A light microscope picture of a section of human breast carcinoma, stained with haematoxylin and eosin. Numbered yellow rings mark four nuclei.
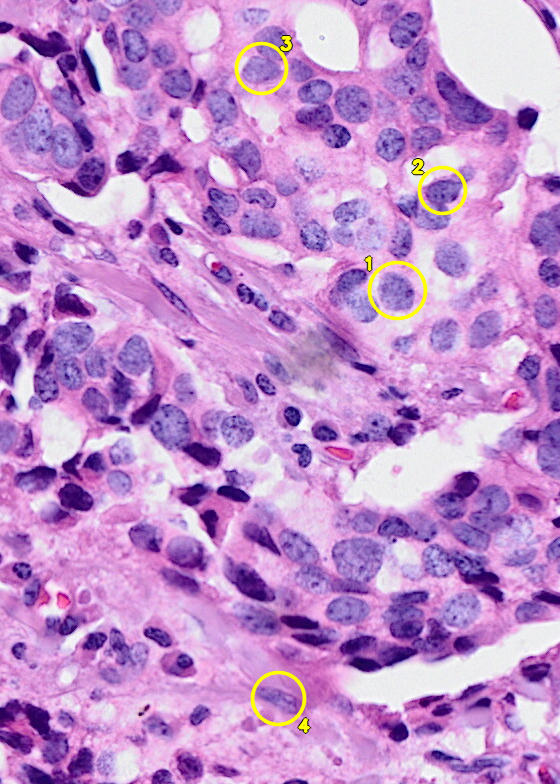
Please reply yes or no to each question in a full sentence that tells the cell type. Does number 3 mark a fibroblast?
No, it is not a fibroblast that bears number 3 but a carcinoma cell.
